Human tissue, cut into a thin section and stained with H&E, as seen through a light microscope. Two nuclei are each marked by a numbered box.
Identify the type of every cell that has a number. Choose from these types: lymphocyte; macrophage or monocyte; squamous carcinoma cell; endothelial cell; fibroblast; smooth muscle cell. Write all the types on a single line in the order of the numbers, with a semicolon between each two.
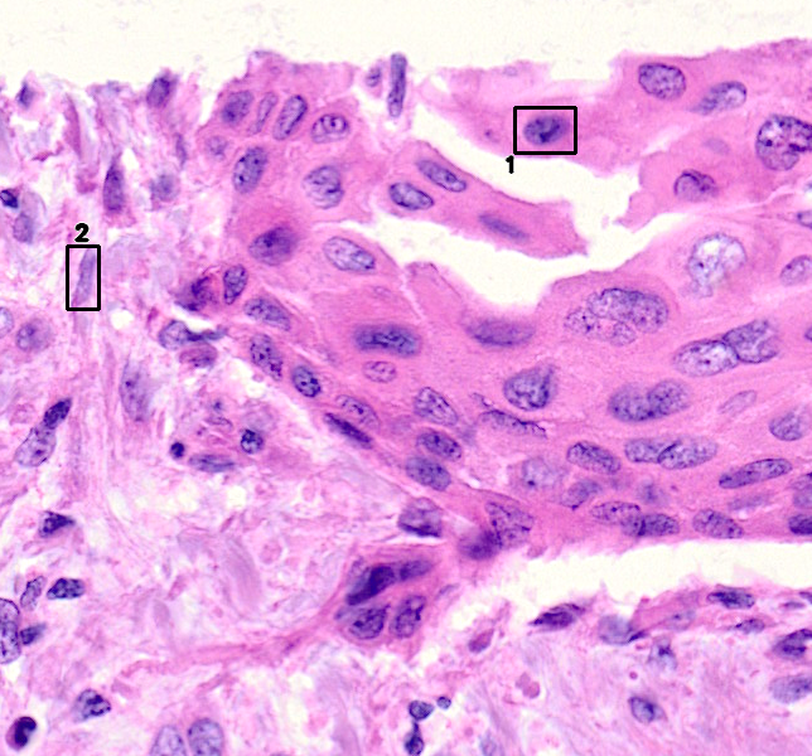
squamous carcinoma cell; fibroblast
